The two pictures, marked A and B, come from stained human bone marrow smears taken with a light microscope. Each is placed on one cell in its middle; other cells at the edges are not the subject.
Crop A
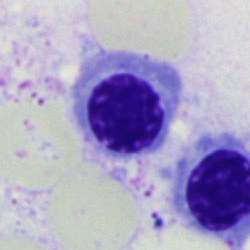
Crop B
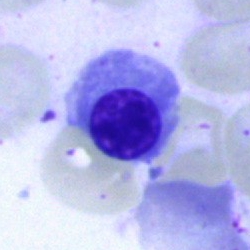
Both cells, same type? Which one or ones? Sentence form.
Yes, both crops in the pair show normoblasts.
